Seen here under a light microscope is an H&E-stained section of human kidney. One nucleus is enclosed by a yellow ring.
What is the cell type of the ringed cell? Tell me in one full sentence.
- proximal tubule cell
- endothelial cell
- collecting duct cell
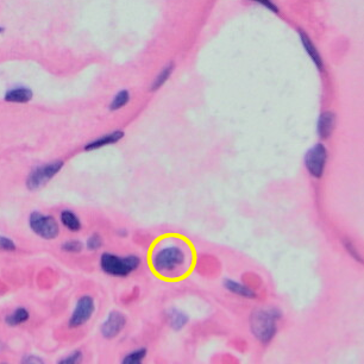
Placed in its cell category, the ringed cell is an endothelial cell.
